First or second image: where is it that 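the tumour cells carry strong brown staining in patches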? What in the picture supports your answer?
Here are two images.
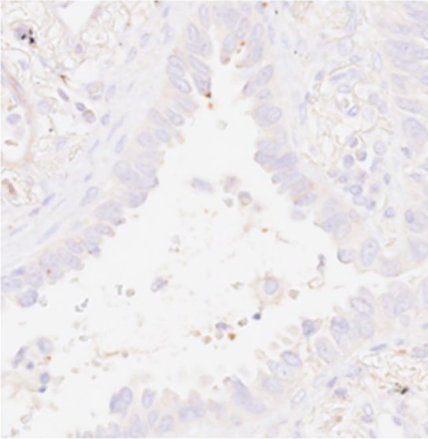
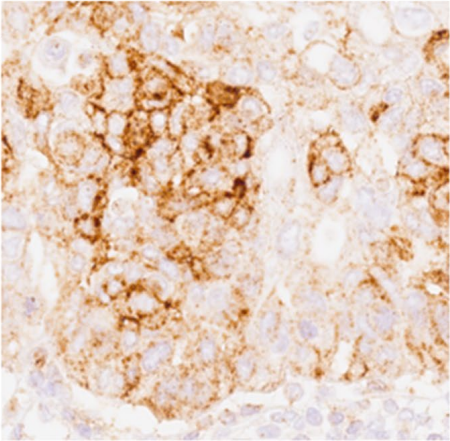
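The second image. First image: gland-lining cells are blue with hardly any brown. Second image: dense brown granular stain in the cytoplasm of groups of tumour cells, weaker elsewhere.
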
